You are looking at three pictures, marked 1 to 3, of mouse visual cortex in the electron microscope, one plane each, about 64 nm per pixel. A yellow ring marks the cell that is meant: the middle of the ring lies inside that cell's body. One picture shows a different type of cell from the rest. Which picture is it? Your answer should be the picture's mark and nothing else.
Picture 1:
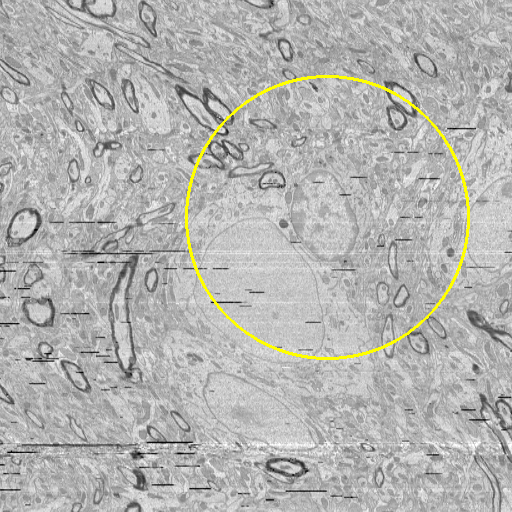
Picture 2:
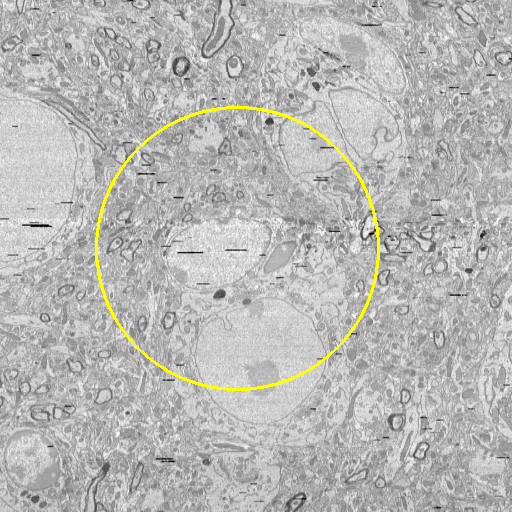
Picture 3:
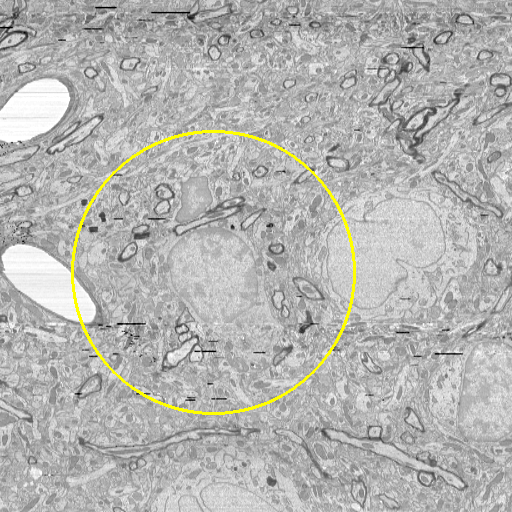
2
